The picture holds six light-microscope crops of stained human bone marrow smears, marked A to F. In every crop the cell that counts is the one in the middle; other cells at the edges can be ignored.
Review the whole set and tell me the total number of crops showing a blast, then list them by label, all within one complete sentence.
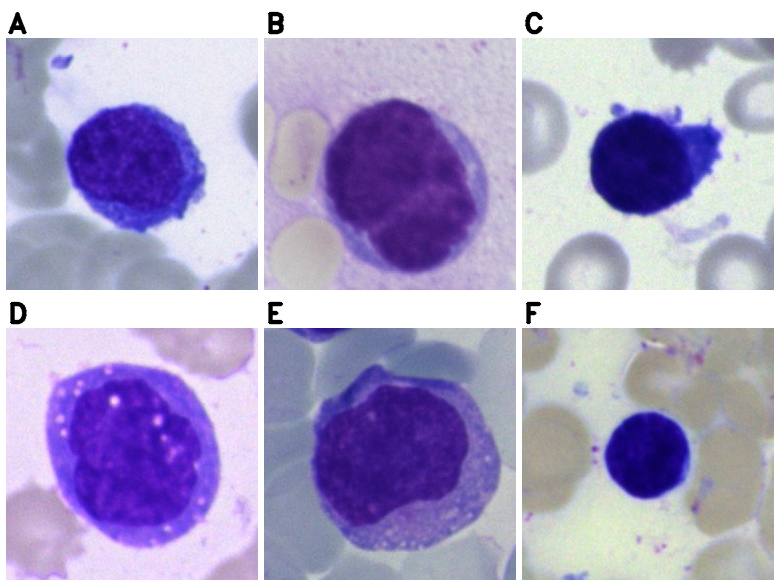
In crops A, B, C and E, that is four crops, the cells are blasts.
